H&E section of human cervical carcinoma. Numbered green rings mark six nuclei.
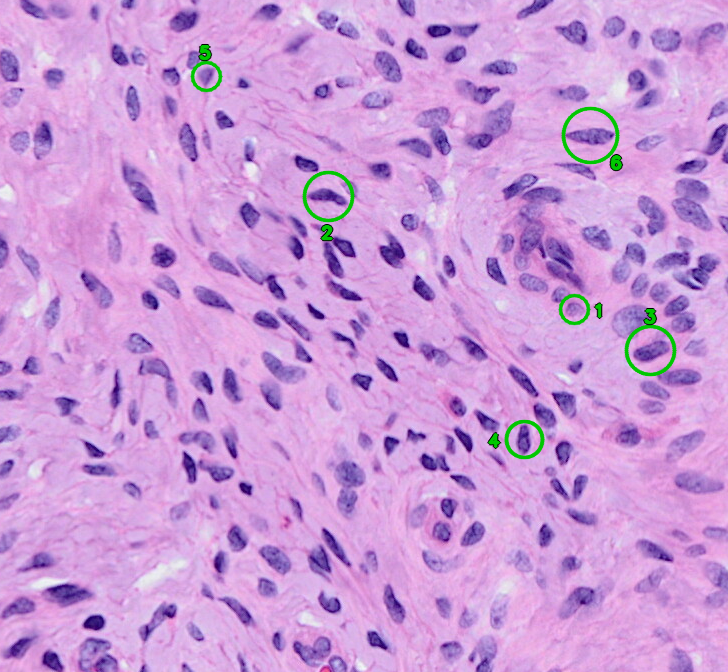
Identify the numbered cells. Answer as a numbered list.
1. smooth muscle cell
2. fibroblast
3. smooth muscle cell
4. fibroblast
5. fibroblast
6. fibroblast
